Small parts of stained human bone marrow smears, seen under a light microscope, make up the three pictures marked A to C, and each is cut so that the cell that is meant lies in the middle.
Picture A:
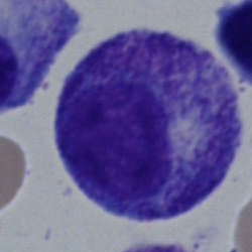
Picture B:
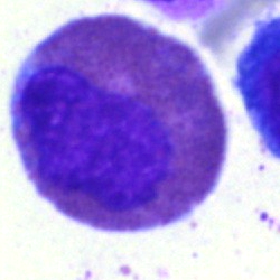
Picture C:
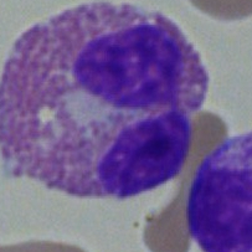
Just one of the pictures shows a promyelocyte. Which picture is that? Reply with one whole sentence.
The cell in picture A is the promyelocyte.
